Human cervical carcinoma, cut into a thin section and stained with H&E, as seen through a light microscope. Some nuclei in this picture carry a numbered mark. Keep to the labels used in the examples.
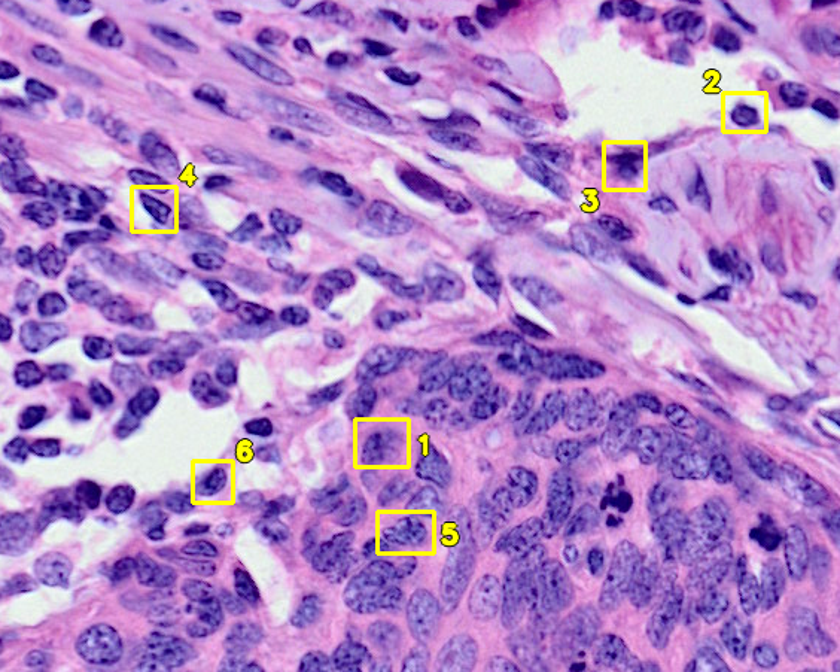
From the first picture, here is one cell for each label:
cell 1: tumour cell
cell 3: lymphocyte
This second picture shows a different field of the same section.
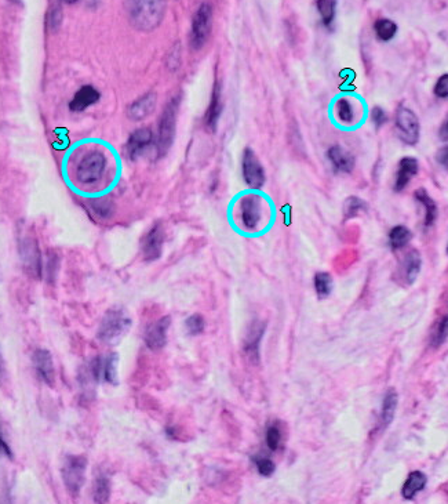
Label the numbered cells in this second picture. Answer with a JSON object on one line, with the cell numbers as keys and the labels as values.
{"1": "lymphocyte", "2": "lymphocyte", "3": "tumour cell"}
